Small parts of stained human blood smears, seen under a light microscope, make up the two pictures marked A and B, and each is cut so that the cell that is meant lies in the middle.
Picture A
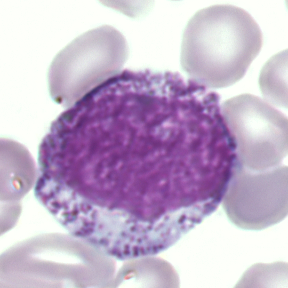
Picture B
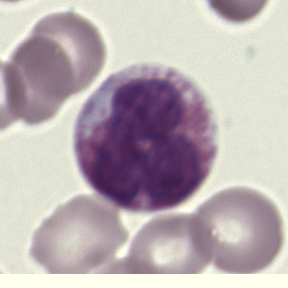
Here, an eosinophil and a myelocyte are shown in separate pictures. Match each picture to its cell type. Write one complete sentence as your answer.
In picture A the cell is a myelocyte; in picture B, an eosinophil.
